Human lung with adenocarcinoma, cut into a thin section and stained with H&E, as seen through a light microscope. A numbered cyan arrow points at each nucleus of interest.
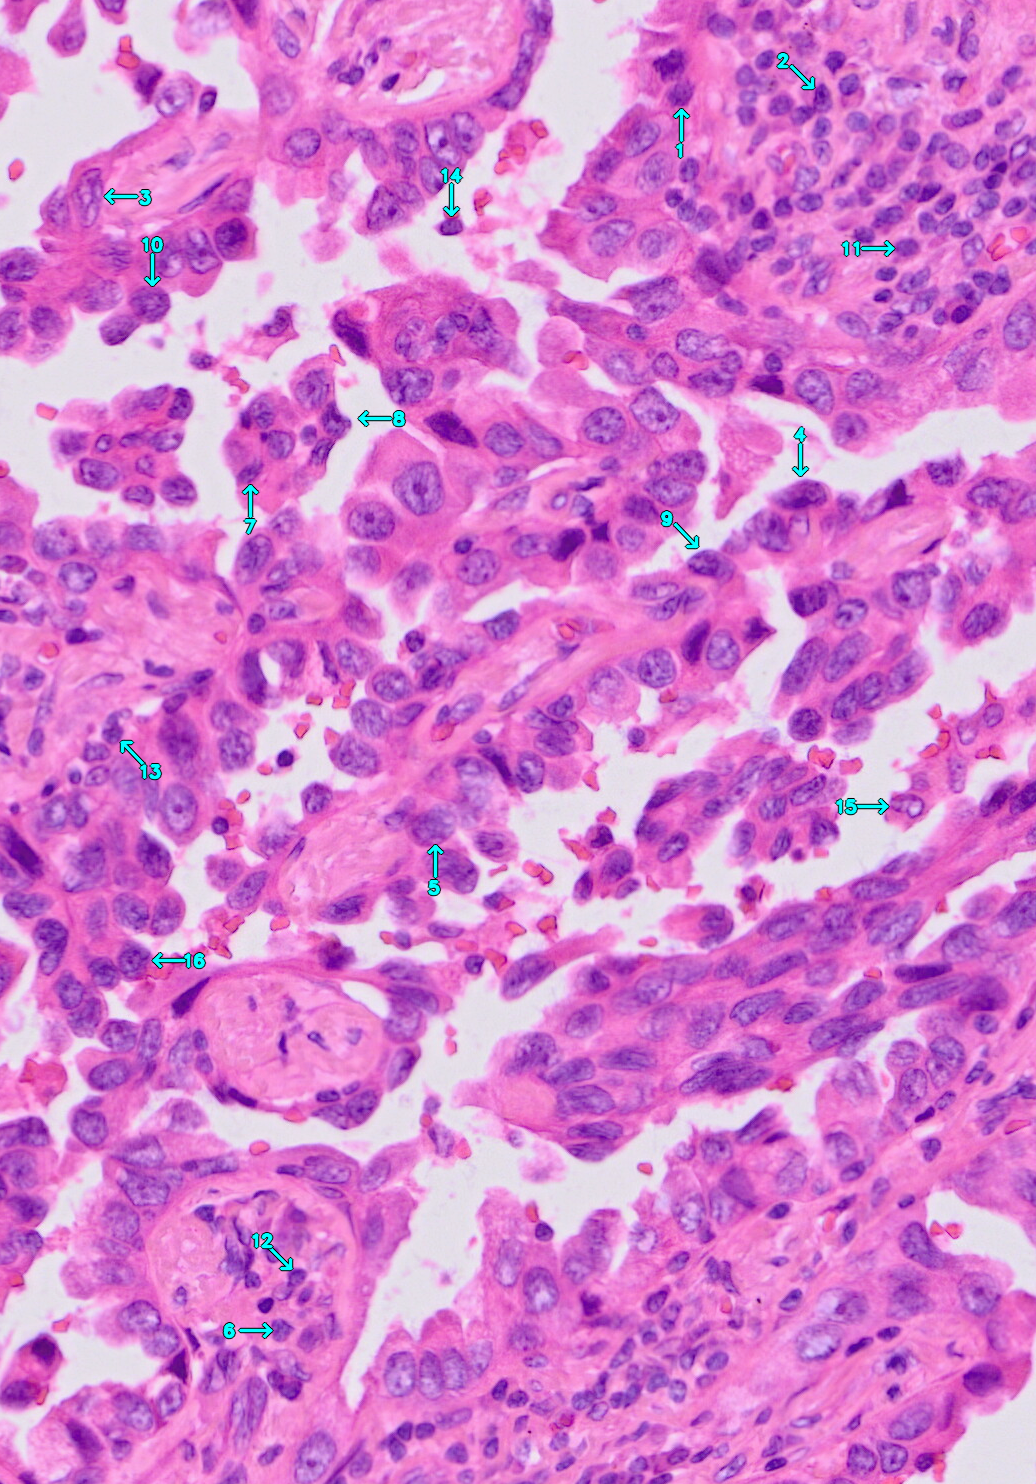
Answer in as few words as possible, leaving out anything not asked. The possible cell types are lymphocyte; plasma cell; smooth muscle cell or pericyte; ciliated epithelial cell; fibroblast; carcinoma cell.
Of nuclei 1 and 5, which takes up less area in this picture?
1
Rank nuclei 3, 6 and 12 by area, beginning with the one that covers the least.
12, 6, 3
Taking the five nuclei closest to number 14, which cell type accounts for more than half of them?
carcinoma cell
